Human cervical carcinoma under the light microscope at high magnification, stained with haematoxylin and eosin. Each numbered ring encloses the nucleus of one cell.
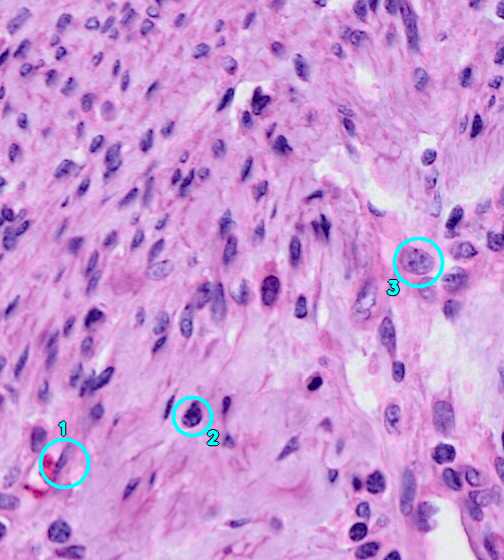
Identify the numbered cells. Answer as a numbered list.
1. endothelial cell
2. lymphocyte
3. endothelial cell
